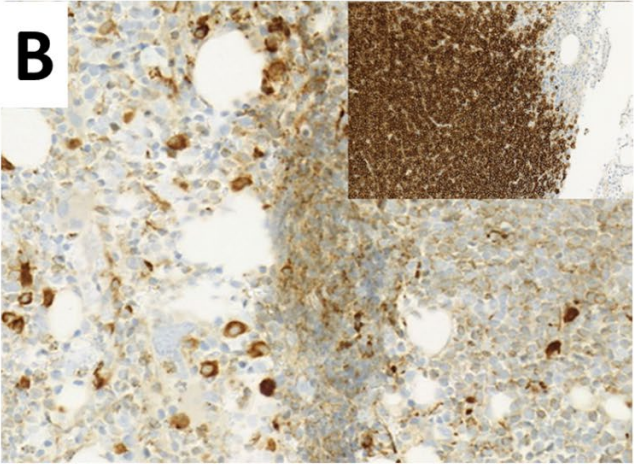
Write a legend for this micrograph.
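Most cells are small, round and only faintly tinted, forming a dense sheet, while scattered among them lie single larger cells with strong brown cytoplasm and often an off-centre pale nucleus; these are the plasma cells admixed with the lymphocytes. Round empty fat spaces are spread through the field. In the corner inset, at lower power, a solid sheet of cells stains uniformly dark brown, ending sharply against paler marrow with fat at its edge.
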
